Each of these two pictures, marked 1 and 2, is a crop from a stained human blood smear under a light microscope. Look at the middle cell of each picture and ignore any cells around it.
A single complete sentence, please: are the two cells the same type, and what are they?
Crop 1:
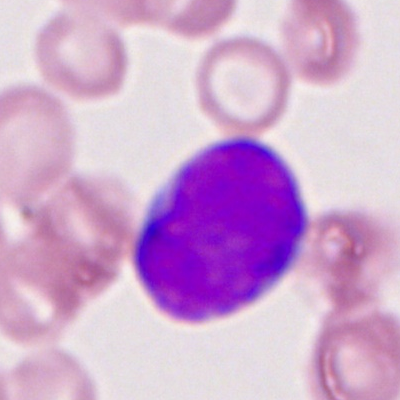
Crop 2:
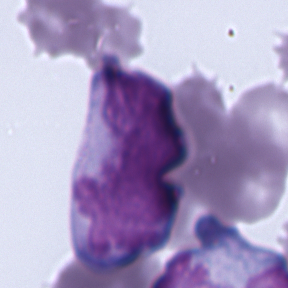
Yes, both crops alike show blasts at the centre.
